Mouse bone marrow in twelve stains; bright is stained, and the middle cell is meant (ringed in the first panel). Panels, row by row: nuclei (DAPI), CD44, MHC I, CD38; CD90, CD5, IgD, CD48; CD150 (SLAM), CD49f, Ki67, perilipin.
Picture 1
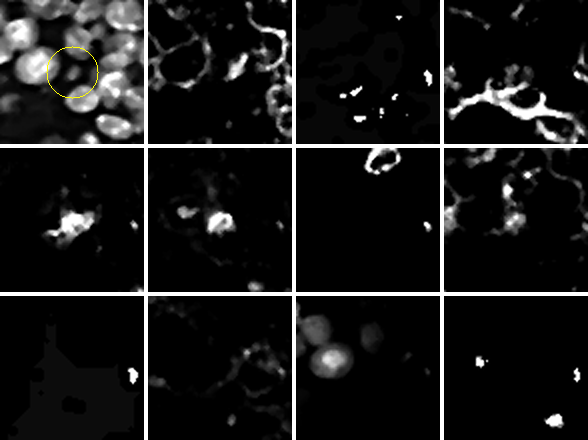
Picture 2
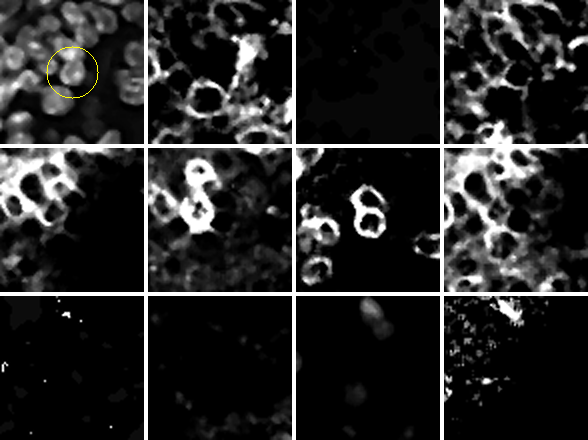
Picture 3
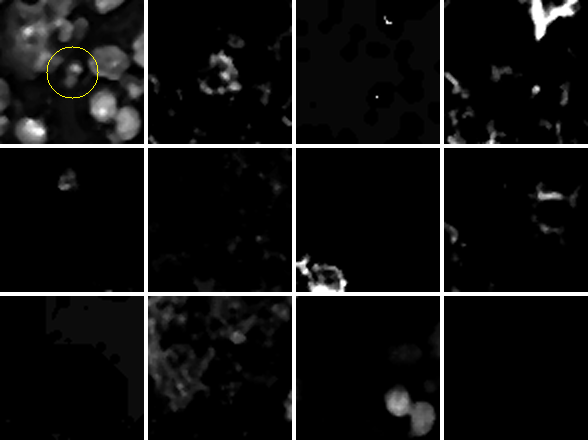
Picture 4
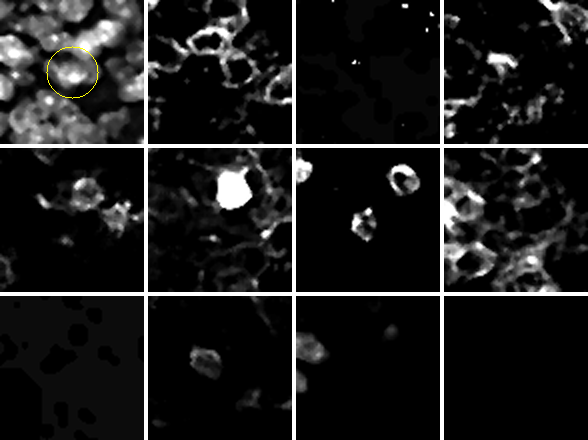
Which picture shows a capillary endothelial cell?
Picture 4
